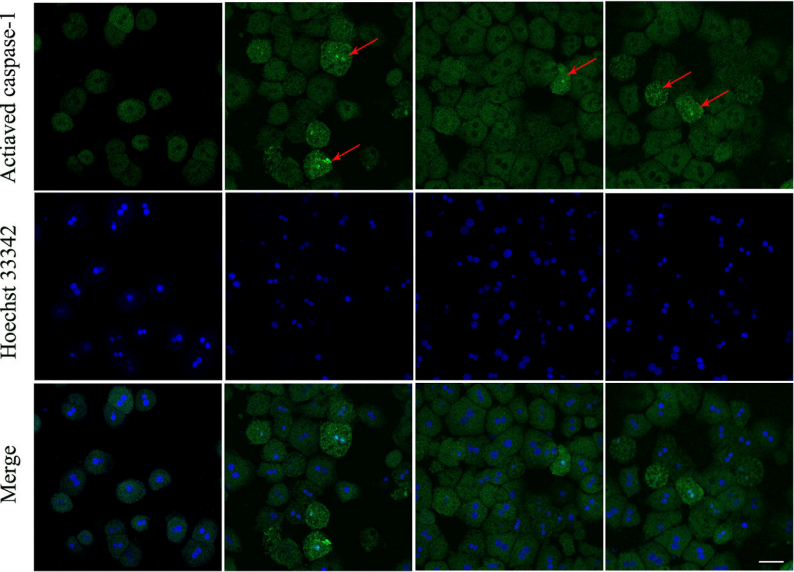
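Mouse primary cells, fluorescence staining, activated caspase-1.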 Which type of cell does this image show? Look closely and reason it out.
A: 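Hepatocytes. Large polygonal cells with abundant cytoplasm lie packed together. Many cells contain two round nuclei.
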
